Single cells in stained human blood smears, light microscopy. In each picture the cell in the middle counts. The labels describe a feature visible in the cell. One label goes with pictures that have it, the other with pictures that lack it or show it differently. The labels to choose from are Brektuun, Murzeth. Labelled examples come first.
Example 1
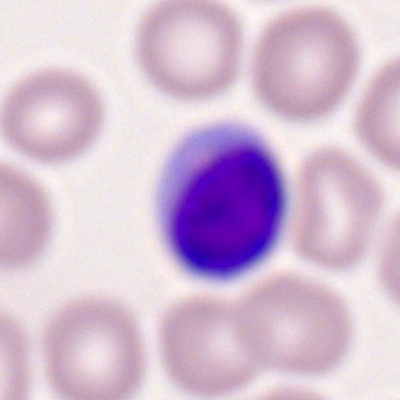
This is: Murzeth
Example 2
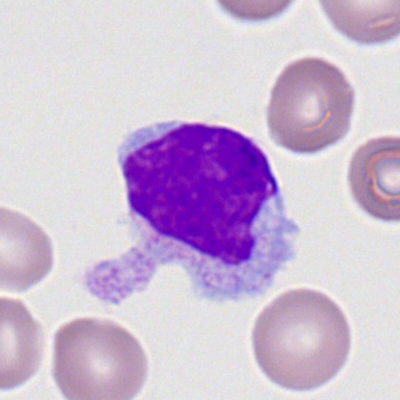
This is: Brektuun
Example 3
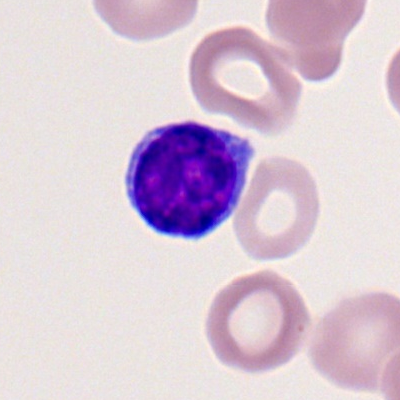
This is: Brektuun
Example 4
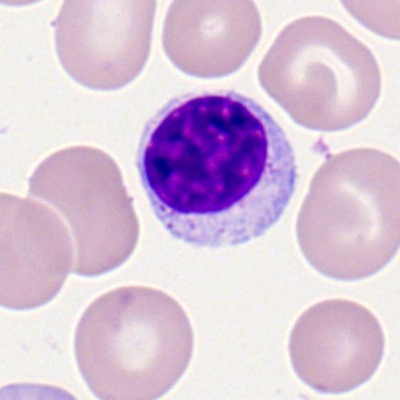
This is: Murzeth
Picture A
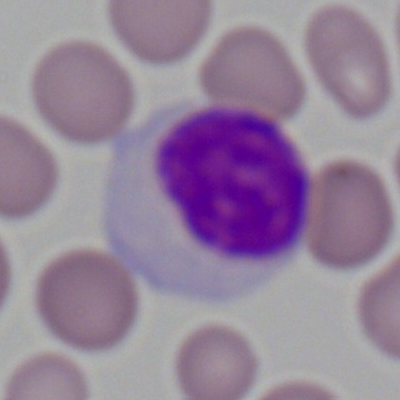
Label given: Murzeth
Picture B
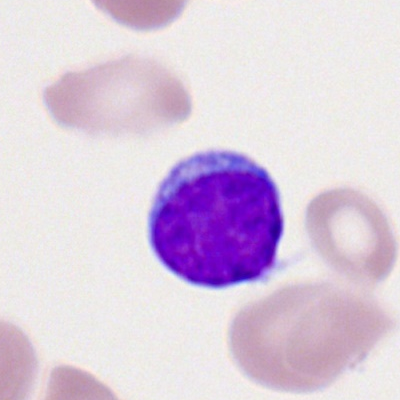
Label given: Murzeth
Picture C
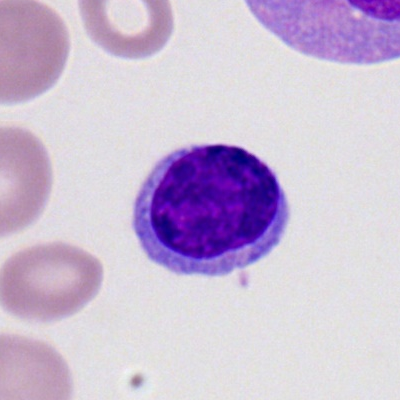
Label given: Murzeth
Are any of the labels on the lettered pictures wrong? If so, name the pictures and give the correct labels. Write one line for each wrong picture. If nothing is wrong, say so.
None of the labels needs changing.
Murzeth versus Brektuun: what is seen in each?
In Murzeth: smooth outline. In Brektuun: ragged outline or projections.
